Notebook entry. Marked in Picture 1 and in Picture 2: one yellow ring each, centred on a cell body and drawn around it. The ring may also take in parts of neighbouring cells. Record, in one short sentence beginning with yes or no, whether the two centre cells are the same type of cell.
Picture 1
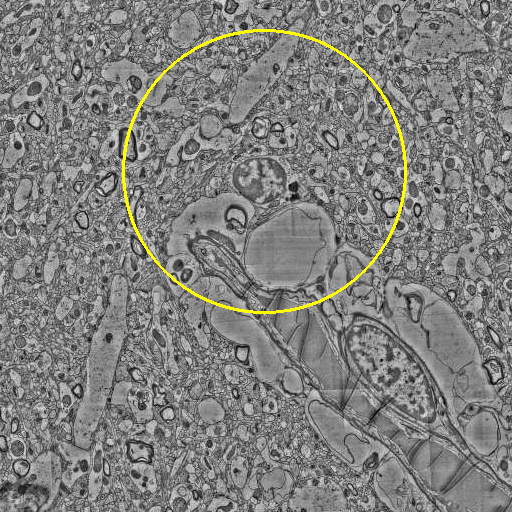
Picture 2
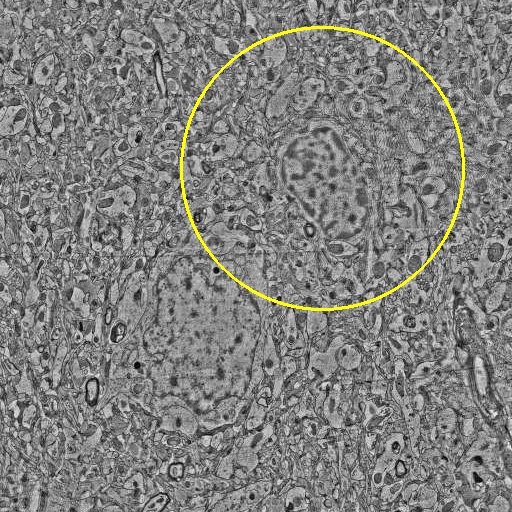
Yes, both are the same type of cell.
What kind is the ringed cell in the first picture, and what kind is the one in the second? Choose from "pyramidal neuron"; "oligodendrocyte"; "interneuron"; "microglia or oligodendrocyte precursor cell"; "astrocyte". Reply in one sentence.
Each of the two cells is a microglial cell or oligodendrocyte precursor cell.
